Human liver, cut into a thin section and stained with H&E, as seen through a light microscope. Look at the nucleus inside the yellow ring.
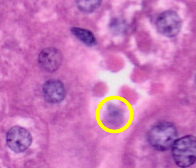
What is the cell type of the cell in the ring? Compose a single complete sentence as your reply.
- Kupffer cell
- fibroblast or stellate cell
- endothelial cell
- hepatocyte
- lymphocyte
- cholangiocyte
As classified here, the cell in the ring is a Kupffer cell.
